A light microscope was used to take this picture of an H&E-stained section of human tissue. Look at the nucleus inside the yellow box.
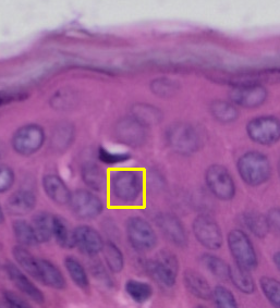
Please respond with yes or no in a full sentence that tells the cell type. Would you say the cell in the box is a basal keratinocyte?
Yes, the cell in the box counts as a basal keratinocyte in this tissue.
